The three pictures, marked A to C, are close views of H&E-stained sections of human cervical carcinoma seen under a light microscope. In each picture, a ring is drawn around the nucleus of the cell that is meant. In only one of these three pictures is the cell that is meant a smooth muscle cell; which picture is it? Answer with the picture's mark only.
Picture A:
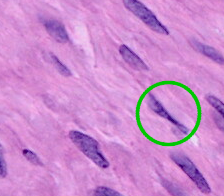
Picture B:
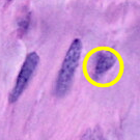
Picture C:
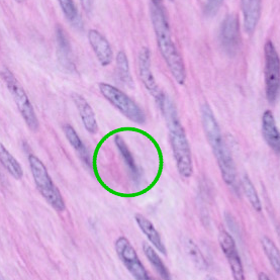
C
